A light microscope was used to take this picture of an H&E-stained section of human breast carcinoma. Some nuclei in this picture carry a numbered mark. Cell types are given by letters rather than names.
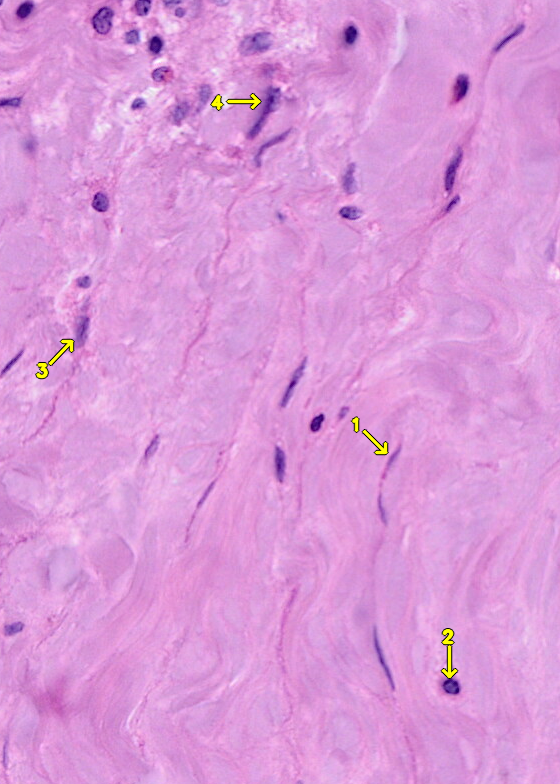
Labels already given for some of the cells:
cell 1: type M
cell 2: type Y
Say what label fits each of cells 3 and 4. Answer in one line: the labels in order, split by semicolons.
type M; type M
